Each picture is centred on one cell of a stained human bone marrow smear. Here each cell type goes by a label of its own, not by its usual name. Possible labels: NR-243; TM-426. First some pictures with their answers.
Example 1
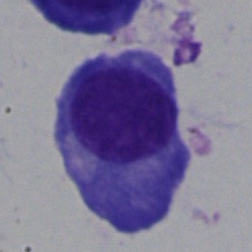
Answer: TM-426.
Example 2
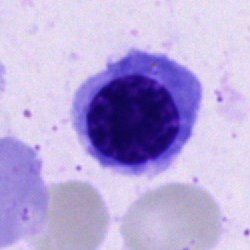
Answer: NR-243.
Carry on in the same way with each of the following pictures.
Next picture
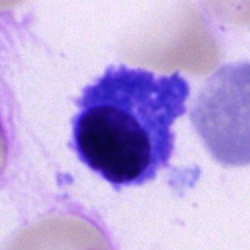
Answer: TM-426.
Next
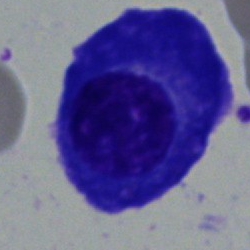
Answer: TM-426.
